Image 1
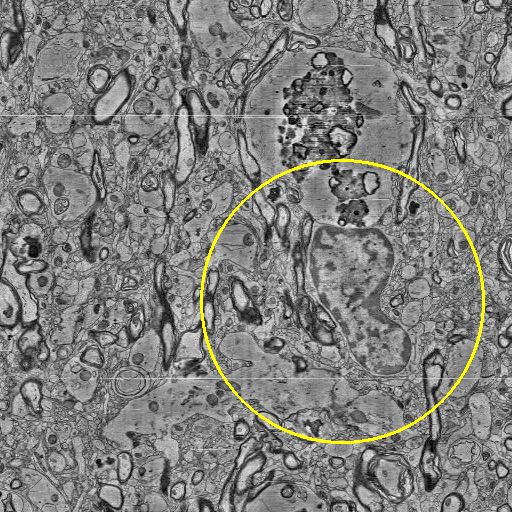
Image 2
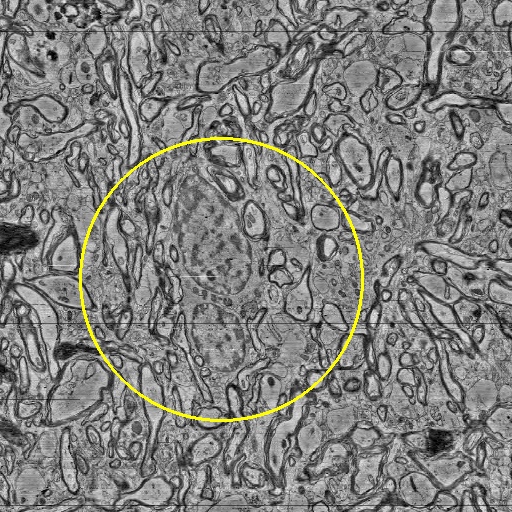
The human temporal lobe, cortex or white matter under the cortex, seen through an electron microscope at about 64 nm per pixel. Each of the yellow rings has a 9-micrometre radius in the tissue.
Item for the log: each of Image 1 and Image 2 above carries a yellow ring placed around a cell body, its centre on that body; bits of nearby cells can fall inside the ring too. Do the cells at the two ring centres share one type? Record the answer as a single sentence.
No, the two cells at the ring centres in Image 1 and Image 2 are of two types.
